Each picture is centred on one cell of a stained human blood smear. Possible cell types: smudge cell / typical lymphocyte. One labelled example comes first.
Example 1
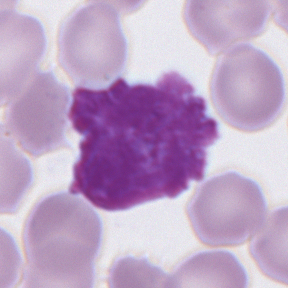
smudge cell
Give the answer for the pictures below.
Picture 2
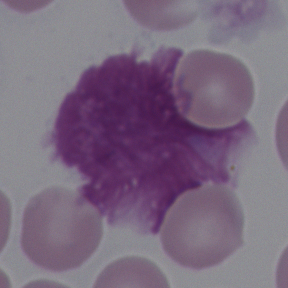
smudge cell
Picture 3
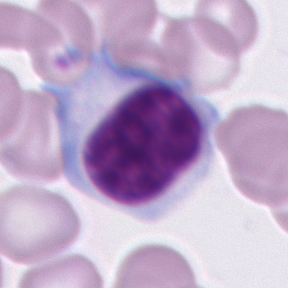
typical lymphocyte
